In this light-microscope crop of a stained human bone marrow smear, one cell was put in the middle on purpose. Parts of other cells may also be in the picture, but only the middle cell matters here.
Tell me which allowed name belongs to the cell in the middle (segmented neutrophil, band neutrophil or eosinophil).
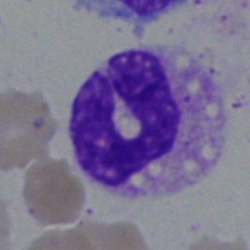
band neutrophil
